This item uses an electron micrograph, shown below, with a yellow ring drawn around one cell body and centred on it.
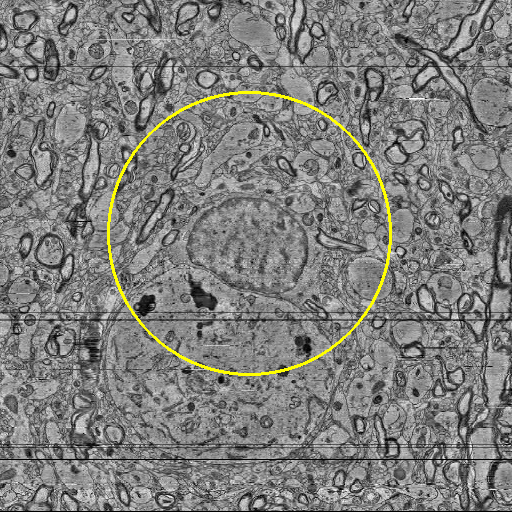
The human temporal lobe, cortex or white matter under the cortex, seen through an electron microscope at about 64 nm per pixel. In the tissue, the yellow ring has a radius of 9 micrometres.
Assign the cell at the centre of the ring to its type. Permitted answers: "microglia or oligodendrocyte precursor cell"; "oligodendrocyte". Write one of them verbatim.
oligodendrocyte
